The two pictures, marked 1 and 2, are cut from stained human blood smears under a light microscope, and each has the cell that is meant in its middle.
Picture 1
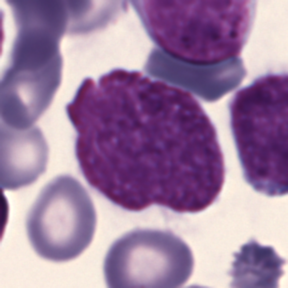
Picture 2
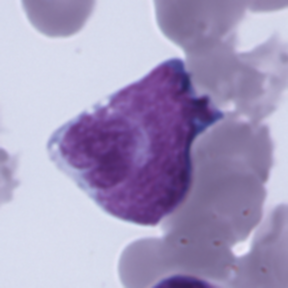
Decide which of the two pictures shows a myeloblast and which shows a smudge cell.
1: smudge cell
2: myeloblast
